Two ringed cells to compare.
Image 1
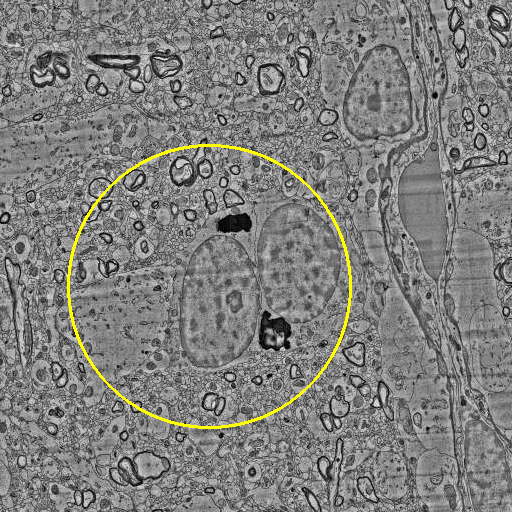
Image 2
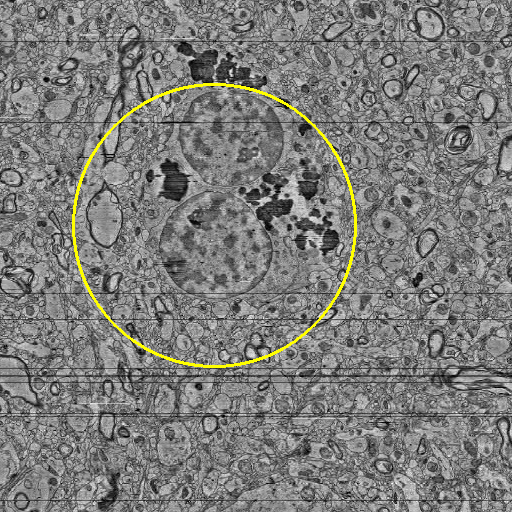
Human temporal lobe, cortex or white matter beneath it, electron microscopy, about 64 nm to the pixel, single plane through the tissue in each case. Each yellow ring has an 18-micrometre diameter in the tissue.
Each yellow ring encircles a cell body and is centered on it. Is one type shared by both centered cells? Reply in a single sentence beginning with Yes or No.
Yes, a single type is shared by the two cells at the centers of the rings.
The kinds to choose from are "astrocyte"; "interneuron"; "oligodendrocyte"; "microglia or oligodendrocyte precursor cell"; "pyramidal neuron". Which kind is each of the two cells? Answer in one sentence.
The cell at the ring centre is an oligodendrocyte in both pictures.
